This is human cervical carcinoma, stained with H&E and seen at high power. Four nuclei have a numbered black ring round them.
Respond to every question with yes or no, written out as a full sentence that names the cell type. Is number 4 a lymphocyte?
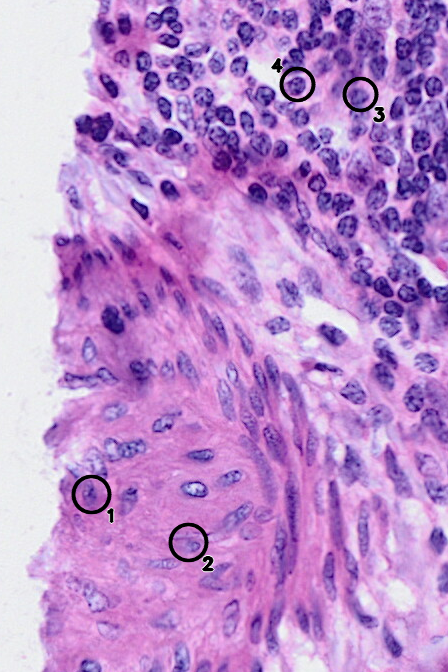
Yes, of the numbered cells, number 4 is a lymphocyte.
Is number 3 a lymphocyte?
Yes, correct, the cell with the number 3 is a lymphocyte.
